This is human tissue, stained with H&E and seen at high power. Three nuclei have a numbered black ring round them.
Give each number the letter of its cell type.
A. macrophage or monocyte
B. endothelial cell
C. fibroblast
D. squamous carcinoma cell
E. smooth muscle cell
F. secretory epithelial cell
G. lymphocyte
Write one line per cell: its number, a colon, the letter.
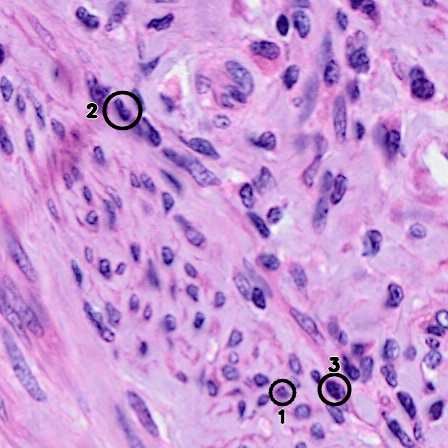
1: E
2: G
3: G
